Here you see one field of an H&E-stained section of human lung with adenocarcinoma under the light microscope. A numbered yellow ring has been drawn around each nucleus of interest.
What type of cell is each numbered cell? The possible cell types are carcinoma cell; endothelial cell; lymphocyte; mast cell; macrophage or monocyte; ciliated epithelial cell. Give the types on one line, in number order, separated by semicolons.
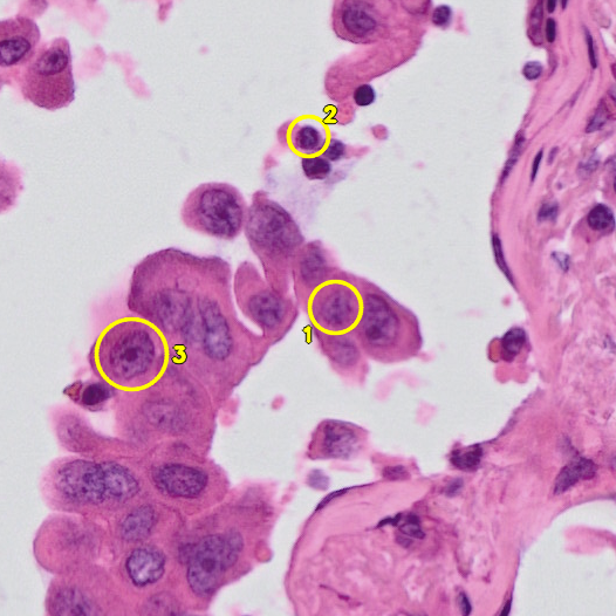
carcinoma cell; lymphocyte; carcinoma cell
